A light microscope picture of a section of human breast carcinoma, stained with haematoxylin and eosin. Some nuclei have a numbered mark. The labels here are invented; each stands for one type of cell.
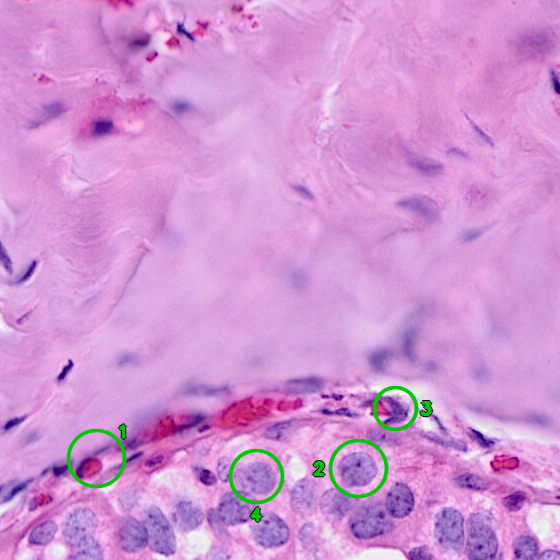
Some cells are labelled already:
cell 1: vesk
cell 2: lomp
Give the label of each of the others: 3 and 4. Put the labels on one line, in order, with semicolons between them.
vesk; lomp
